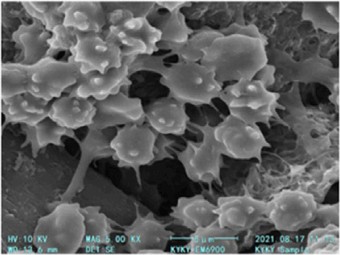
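Blood cells are packed densely over a fibrous substrate. They are rounded, and many bear short spiky surface projections. Fine strands tether the cells to one another and to the substrate.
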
